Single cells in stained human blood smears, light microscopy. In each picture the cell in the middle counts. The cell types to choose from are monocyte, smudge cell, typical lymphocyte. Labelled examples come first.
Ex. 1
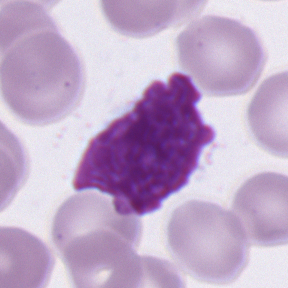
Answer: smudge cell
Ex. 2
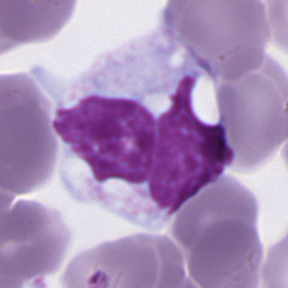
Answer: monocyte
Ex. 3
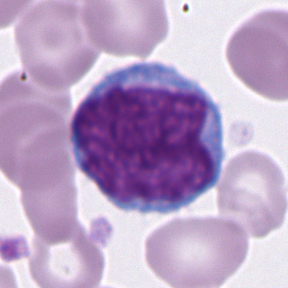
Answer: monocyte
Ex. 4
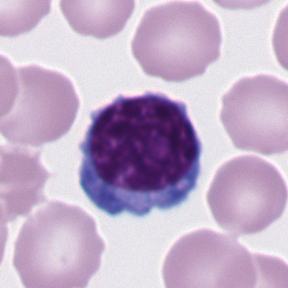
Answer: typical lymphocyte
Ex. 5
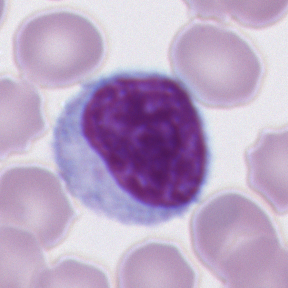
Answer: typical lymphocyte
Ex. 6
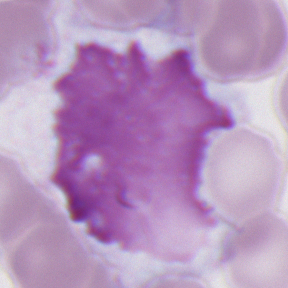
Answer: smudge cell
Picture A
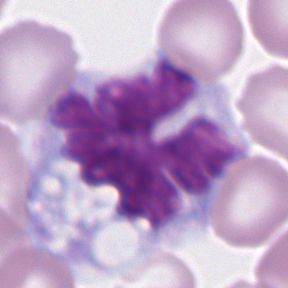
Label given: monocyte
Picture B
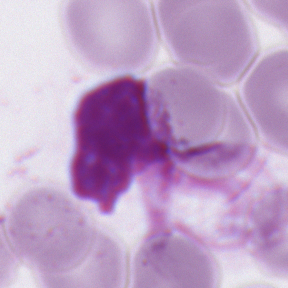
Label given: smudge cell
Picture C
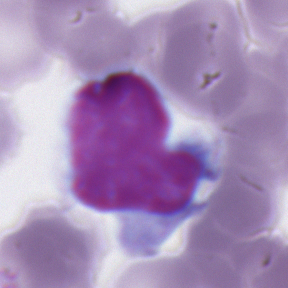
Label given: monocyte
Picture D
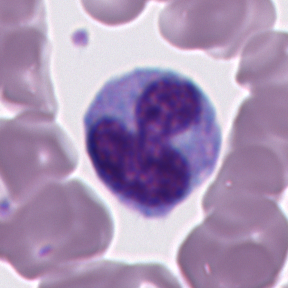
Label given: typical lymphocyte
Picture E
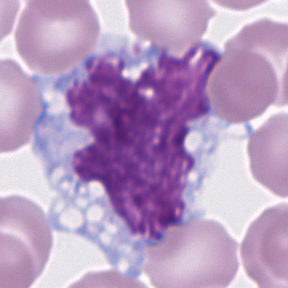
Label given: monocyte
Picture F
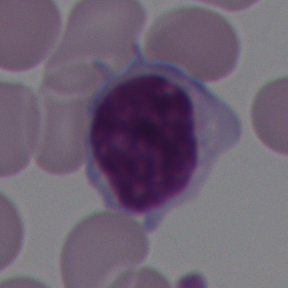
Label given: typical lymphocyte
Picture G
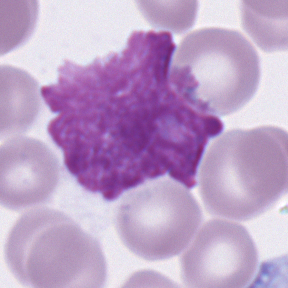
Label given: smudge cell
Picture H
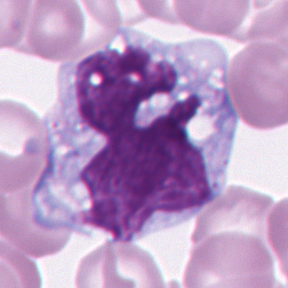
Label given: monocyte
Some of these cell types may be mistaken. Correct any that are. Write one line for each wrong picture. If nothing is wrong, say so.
C is labelled monocyte; correct label: typical lymphocyte
D is labelled typical lymphocyte; correct label: monocyte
